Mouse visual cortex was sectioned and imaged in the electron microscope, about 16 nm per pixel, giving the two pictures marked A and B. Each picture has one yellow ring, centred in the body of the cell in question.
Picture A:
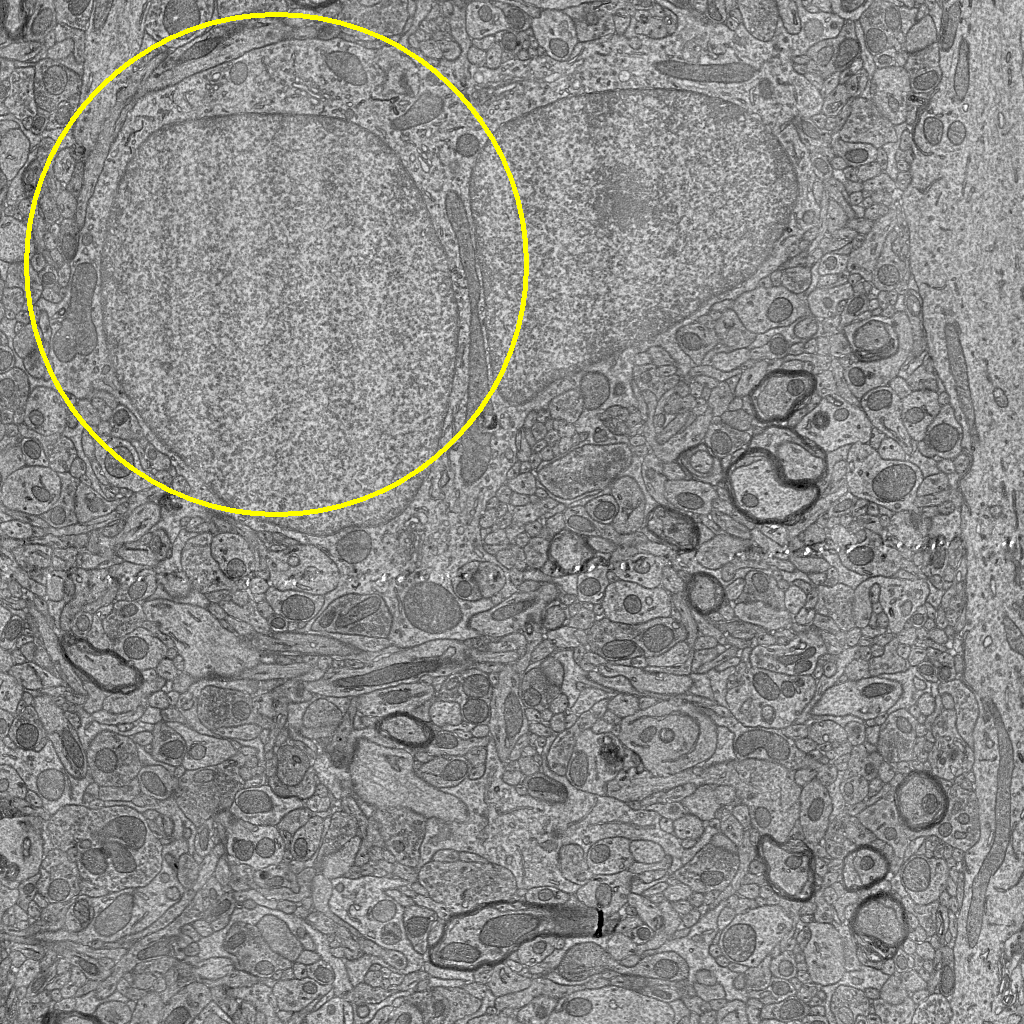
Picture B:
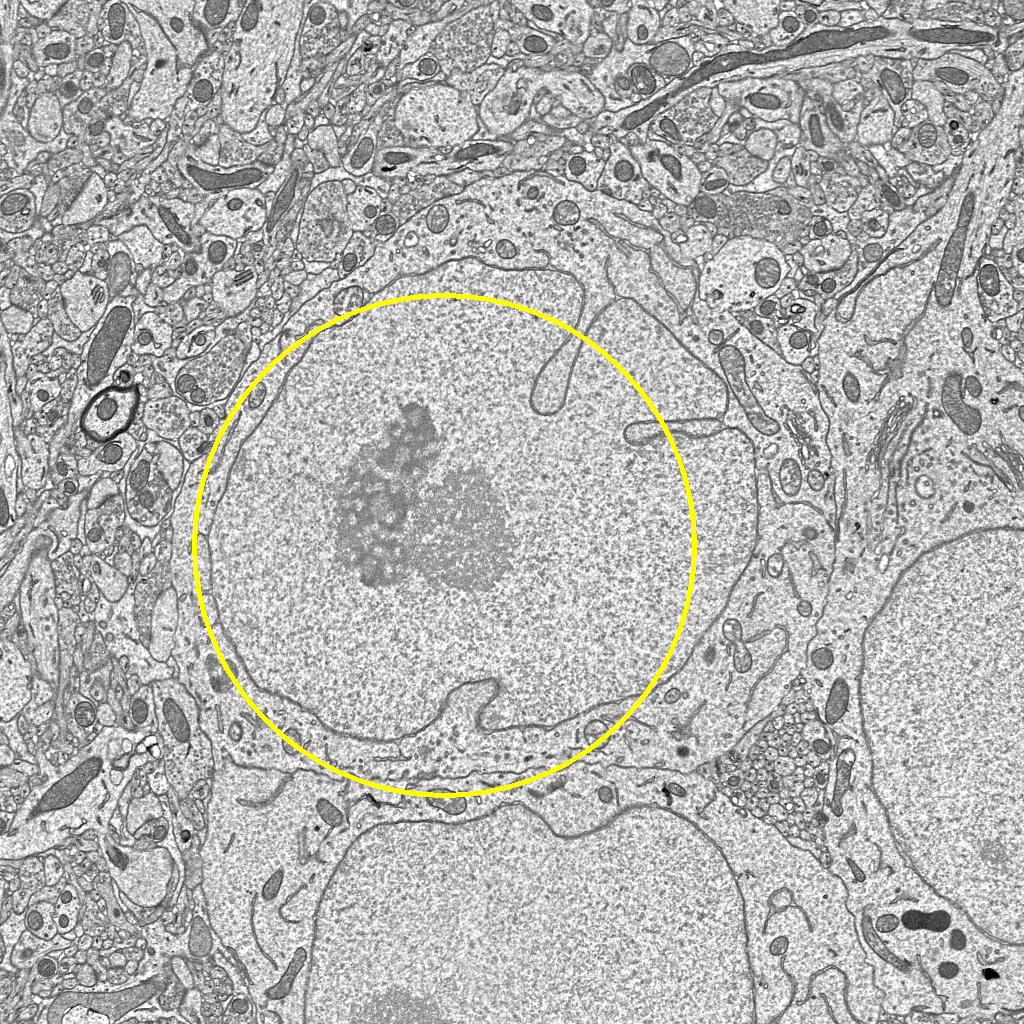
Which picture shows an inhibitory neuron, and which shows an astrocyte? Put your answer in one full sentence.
Picture B shows an inhibitory neuron, while picture A shows an astrocyte.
